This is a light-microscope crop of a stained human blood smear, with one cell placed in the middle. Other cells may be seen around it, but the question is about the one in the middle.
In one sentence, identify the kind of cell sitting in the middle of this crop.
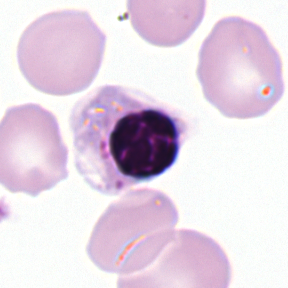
Where the crop is centred, there is an erythroblast.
